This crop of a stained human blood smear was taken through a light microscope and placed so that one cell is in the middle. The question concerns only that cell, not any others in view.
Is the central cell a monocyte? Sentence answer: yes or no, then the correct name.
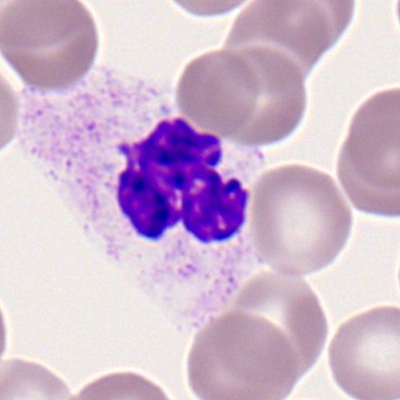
No, the cell in the middle is a segmented neutrophil, not a monocyte.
